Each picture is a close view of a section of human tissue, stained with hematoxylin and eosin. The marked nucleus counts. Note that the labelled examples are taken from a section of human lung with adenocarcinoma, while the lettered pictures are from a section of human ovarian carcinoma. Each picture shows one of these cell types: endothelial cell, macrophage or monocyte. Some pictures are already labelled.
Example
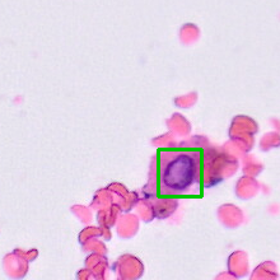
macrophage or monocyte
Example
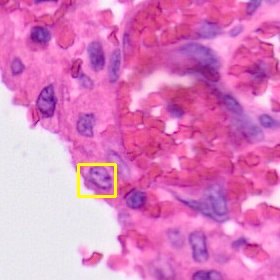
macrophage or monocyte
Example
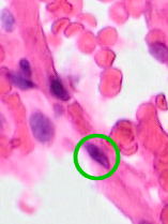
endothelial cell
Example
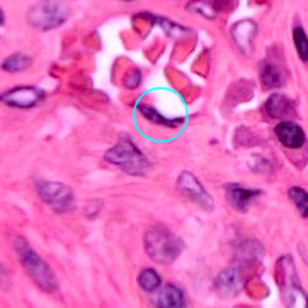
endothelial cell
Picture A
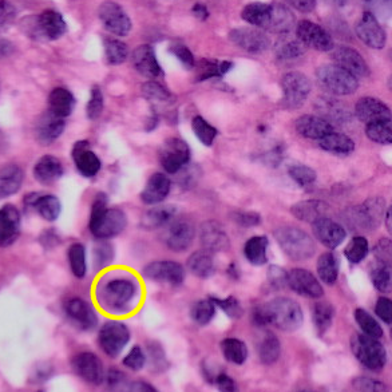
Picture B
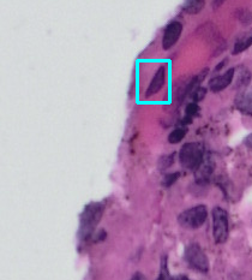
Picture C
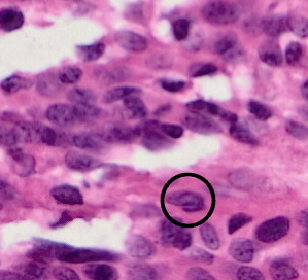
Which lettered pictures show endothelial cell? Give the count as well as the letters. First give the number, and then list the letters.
2, namely B, C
